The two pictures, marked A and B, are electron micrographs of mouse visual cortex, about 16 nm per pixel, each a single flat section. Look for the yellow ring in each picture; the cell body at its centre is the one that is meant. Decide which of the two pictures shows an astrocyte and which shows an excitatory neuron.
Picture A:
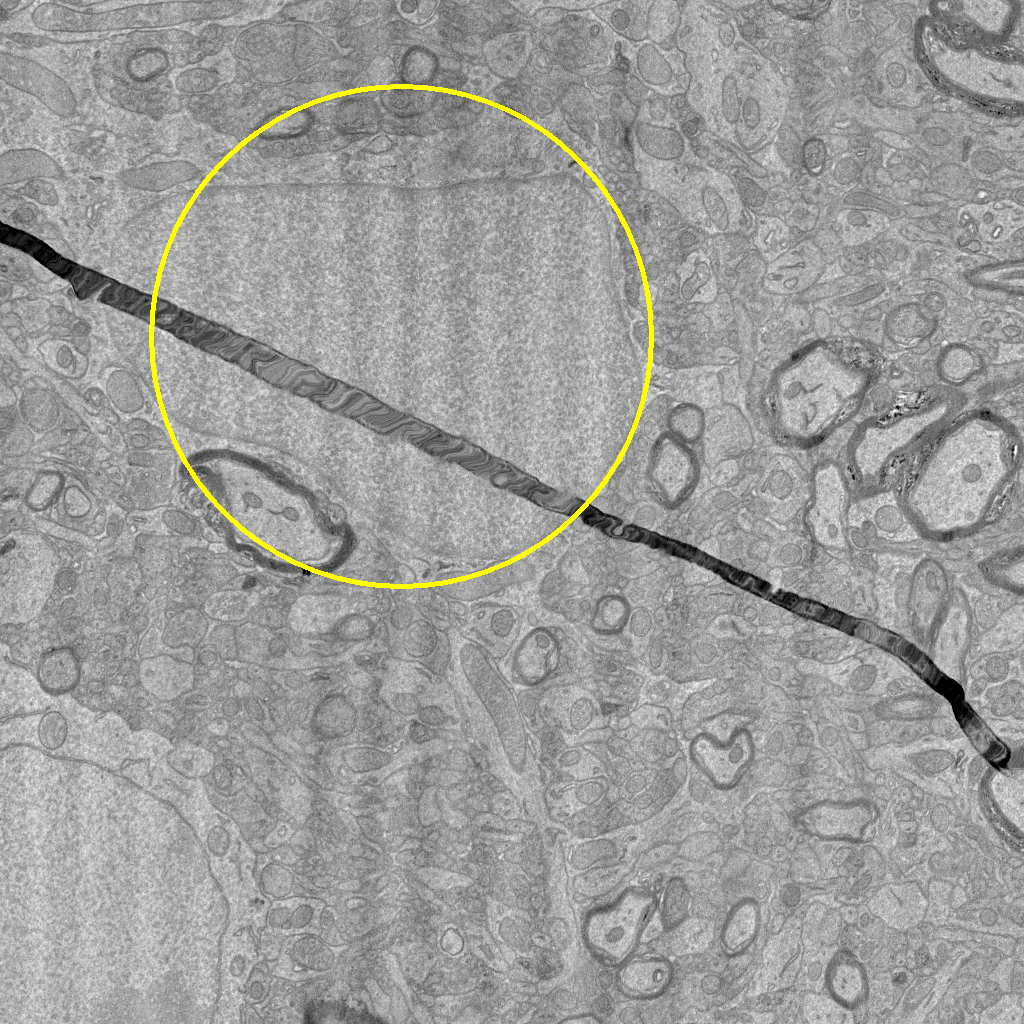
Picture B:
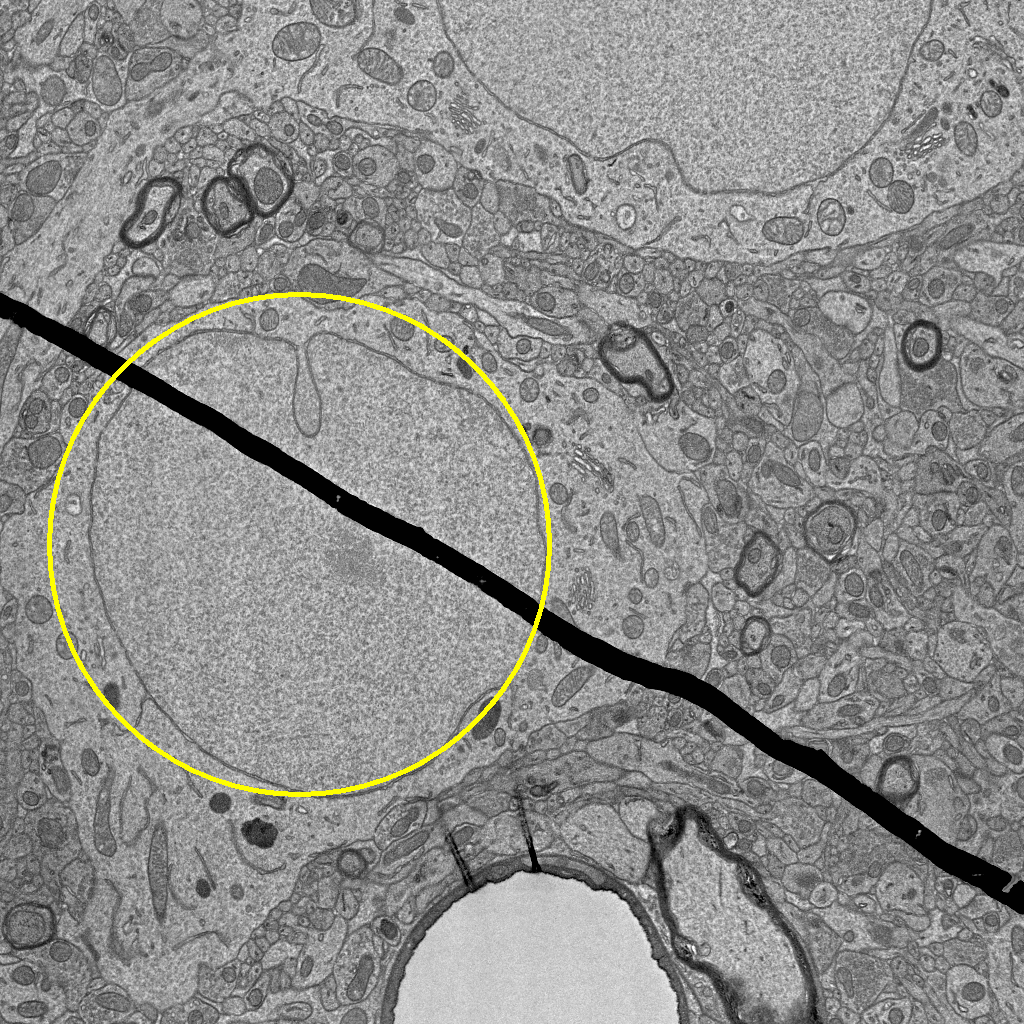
Picture B shows an excitatory neuron, while picture A shows an astrocyte.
